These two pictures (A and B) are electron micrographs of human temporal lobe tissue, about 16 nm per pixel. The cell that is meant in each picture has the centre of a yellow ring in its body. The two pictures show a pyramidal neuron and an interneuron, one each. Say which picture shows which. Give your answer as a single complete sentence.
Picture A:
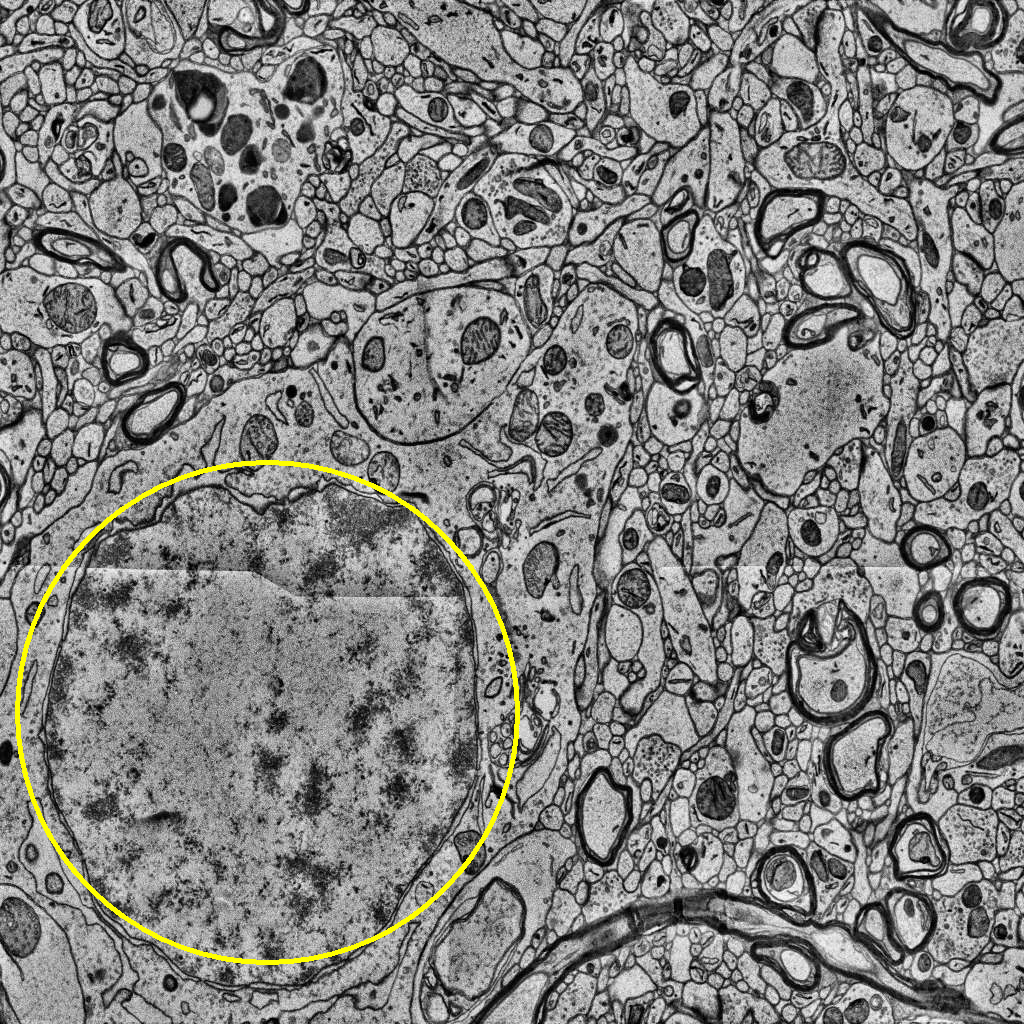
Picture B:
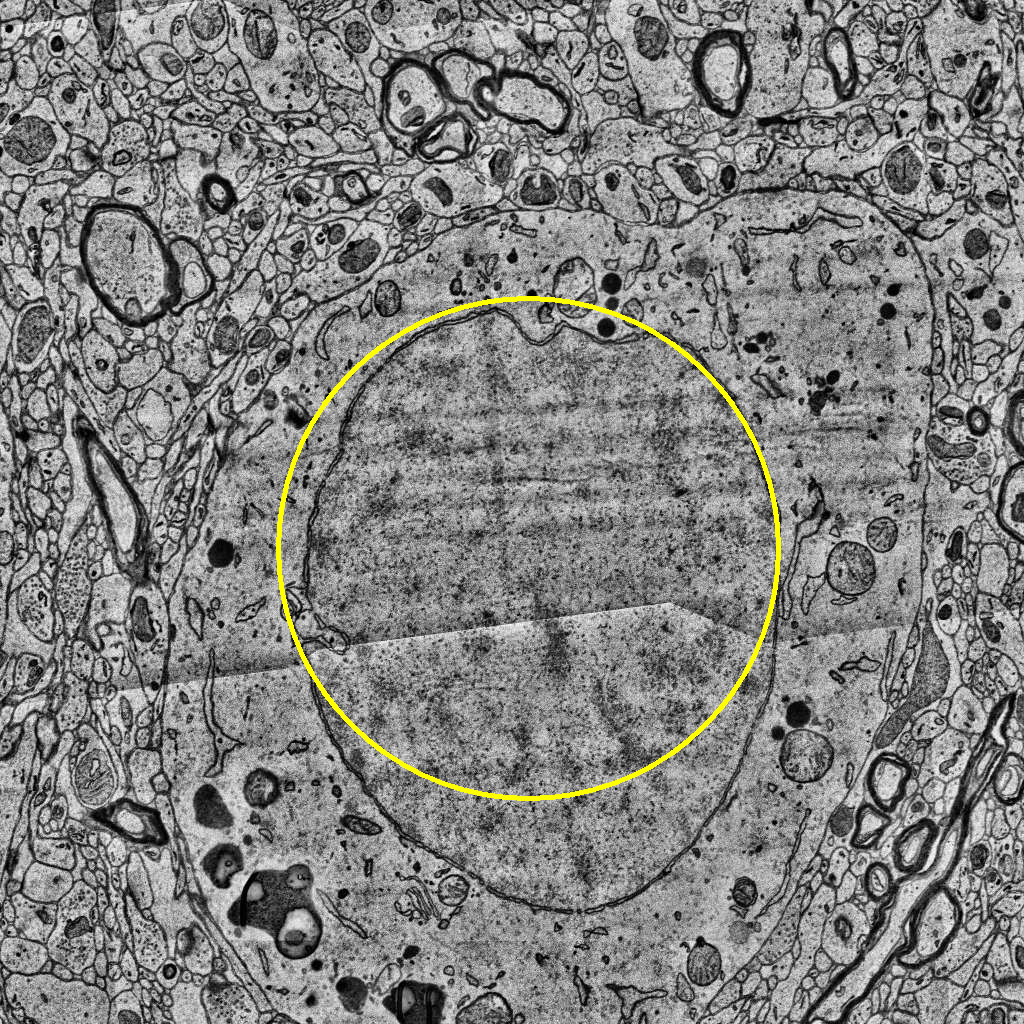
It is picture A that shows an interneuron, and picture B that shows a pyramidal neuron.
